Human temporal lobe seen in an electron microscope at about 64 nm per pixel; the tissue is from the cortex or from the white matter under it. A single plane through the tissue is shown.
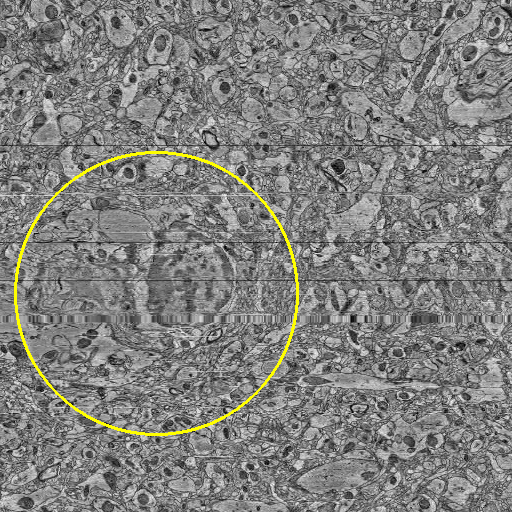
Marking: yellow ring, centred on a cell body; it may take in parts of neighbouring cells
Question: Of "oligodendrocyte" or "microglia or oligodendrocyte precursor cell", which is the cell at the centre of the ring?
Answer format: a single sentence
The ring surrounds the body of a microglial cell or oligodendrocyte precursor cell.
